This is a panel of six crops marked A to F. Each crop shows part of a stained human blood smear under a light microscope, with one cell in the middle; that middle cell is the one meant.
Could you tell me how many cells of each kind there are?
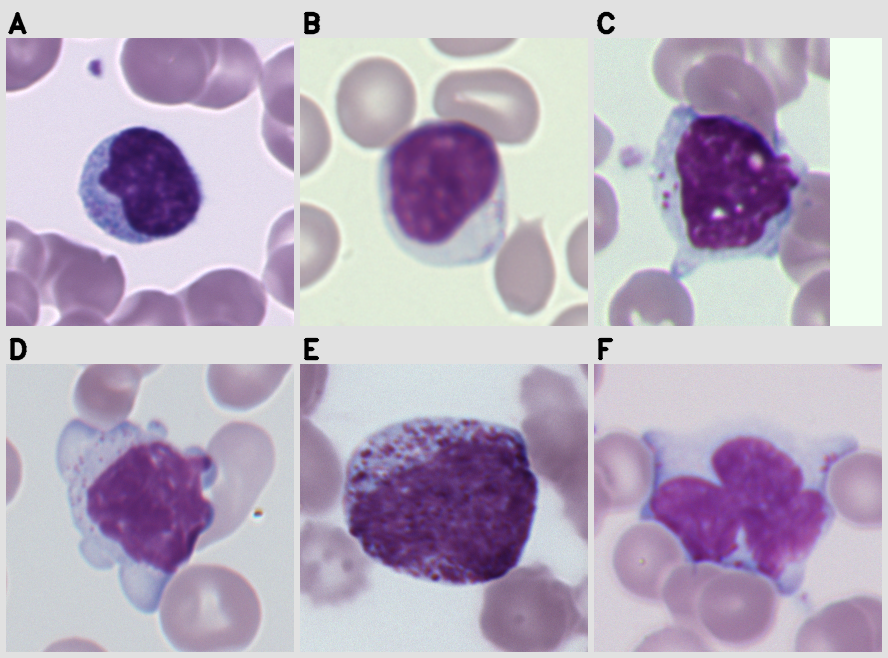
large granular lymphocyte: 4
typical lymphocyte: 1
myelocyte: 1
